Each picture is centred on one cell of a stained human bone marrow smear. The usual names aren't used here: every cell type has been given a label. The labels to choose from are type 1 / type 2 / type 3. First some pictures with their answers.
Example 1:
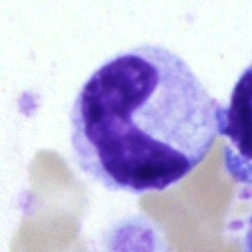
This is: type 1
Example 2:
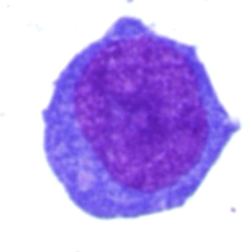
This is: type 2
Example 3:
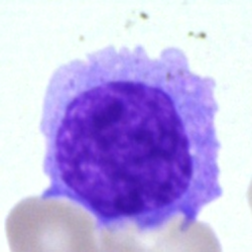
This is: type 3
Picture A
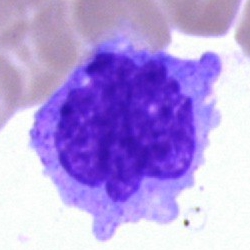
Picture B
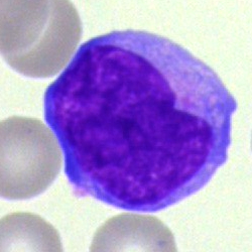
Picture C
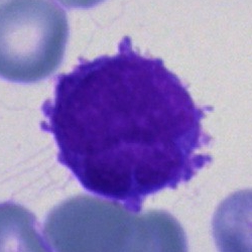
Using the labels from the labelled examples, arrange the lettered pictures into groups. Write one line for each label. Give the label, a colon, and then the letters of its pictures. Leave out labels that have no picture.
type 2: B, C
type 3: A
